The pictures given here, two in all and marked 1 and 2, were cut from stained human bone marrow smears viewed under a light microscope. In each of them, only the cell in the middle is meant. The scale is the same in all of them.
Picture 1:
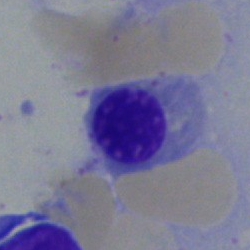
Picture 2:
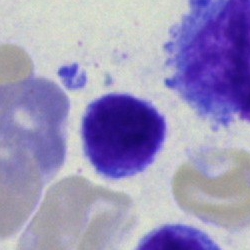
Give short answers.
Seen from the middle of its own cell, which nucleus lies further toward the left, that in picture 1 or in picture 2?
1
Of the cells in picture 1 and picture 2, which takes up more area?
1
